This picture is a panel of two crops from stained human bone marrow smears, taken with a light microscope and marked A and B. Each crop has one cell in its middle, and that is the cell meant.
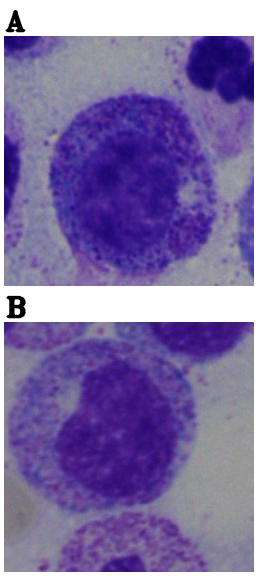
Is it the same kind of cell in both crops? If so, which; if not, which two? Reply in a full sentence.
Yes, both crops show myelocytes, and that holds for each one.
